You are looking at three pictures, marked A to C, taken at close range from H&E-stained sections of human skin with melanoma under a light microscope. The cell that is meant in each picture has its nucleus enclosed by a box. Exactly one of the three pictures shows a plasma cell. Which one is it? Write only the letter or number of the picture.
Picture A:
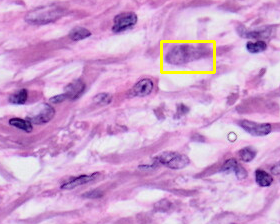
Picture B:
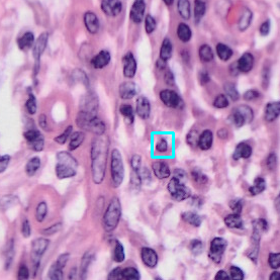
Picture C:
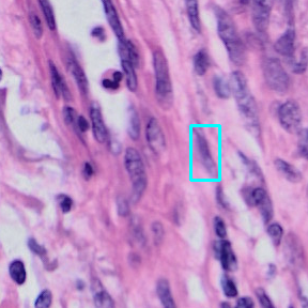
B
